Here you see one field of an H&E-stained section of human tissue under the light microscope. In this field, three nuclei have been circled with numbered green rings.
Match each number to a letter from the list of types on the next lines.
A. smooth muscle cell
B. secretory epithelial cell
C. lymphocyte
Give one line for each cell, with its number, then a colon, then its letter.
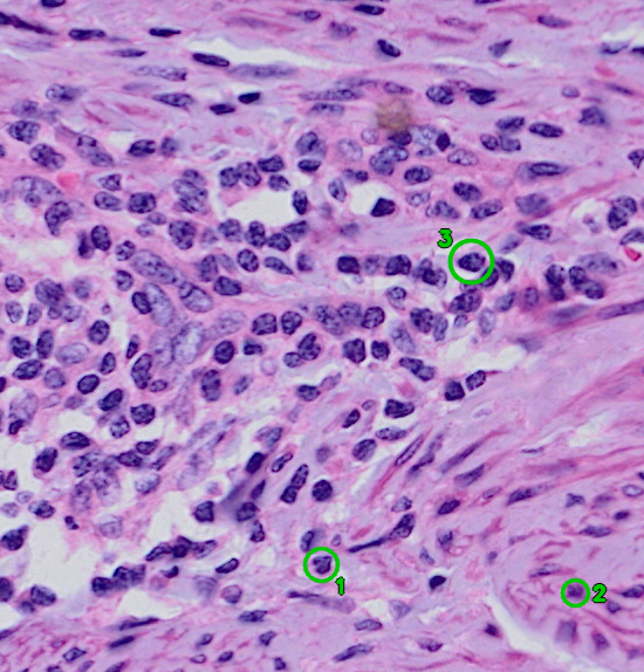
1: C
2: A
3: C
